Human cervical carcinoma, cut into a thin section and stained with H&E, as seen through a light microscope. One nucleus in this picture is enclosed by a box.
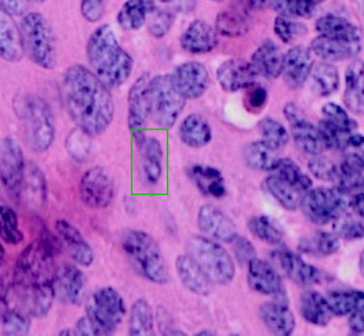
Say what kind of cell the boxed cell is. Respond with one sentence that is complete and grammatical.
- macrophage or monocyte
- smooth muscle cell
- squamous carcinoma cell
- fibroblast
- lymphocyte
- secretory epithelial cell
In this preparation, the boxed cell is a squamous carcinoma cell.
